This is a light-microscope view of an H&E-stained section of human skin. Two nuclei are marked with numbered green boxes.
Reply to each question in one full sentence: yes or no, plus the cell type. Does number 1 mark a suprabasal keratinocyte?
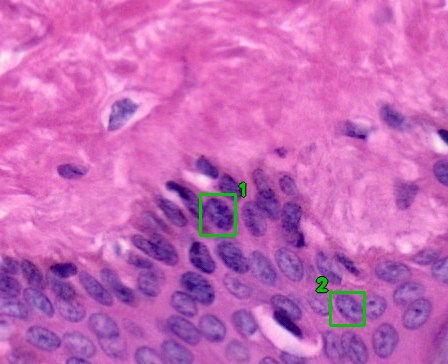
No, the cell referred to as 1 is a basal keratinocyte, not a suprabasal keratinocyte.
